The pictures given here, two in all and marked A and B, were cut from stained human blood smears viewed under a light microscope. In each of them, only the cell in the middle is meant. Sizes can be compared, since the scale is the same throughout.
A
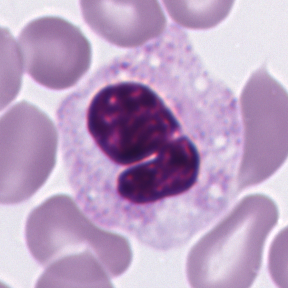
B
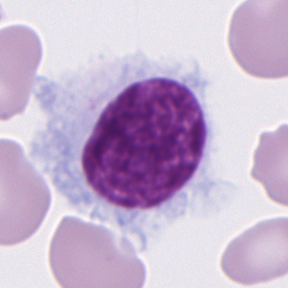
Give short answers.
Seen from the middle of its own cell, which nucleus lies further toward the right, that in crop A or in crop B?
B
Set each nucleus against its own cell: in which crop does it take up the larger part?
B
